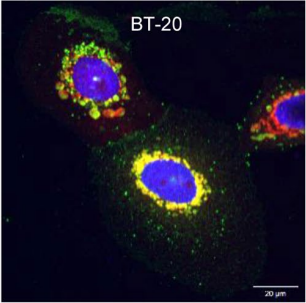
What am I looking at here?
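In one cell a dense, bright yellow ring hugs the nucleus where green and red overlap, and fine green dots are scattered through the wider, faintly stained cytoplasm beyond it. In another cell, above, red and green granules mix in a looser perinuclear cluster, partly yellow. A cell at the right edge shows mainly red granules around its nucleus. The cell borders are faint and the background is dark.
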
